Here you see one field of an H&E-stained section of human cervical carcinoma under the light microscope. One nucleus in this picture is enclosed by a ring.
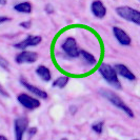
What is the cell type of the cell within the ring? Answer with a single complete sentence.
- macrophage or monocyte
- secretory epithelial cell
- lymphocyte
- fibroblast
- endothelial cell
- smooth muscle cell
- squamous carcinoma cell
The cell within the ring is a fibroblast.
